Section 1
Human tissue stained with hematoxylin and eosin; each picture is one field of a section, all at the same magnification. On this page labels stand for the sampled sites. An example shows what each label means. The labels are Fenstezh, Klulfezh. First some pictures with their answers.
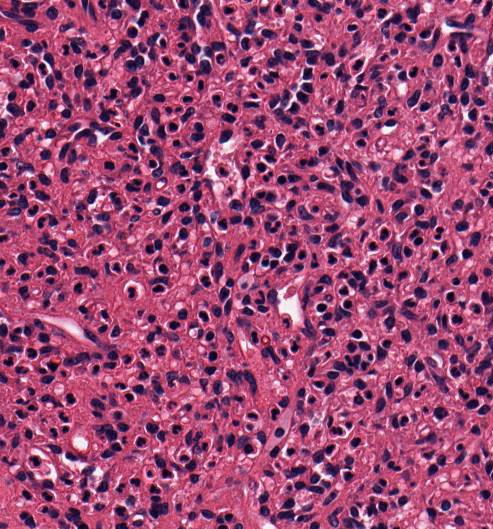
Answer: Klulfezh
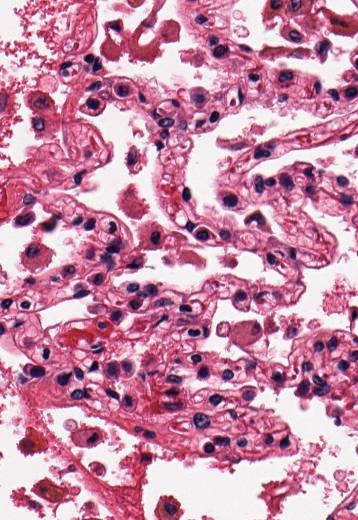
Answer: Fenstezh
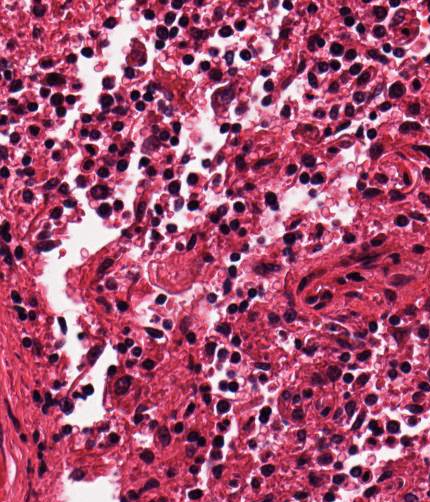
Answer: Klulfezh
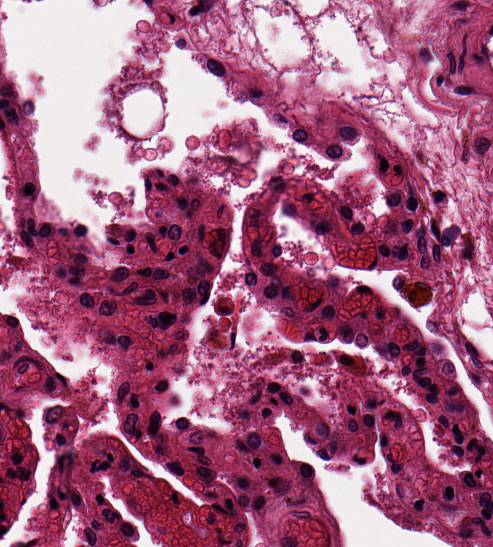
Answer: Fenstezh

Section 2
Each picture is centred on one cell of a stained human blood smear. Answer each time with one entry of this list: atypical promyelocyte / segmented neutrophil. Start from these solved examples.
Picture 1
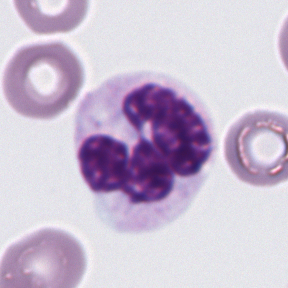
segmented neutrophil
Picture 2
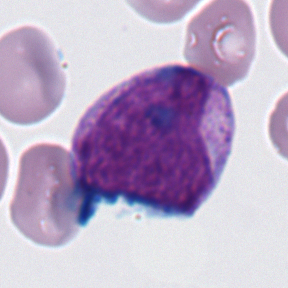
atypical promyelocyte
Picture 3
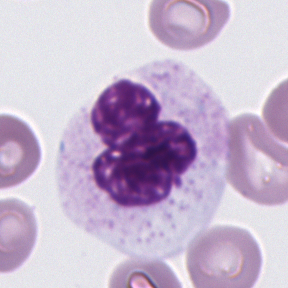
segmented neutrophil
